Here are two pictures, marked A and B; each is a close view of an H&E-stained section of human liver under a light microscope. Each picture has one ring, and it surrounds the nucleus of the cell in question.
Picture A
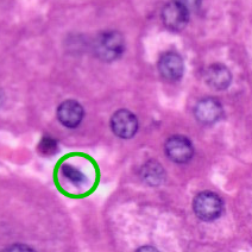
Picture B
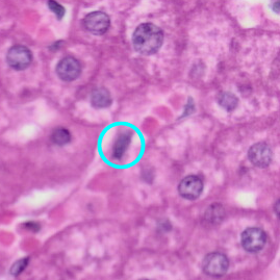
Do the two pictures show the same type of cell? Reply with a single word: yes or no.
no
